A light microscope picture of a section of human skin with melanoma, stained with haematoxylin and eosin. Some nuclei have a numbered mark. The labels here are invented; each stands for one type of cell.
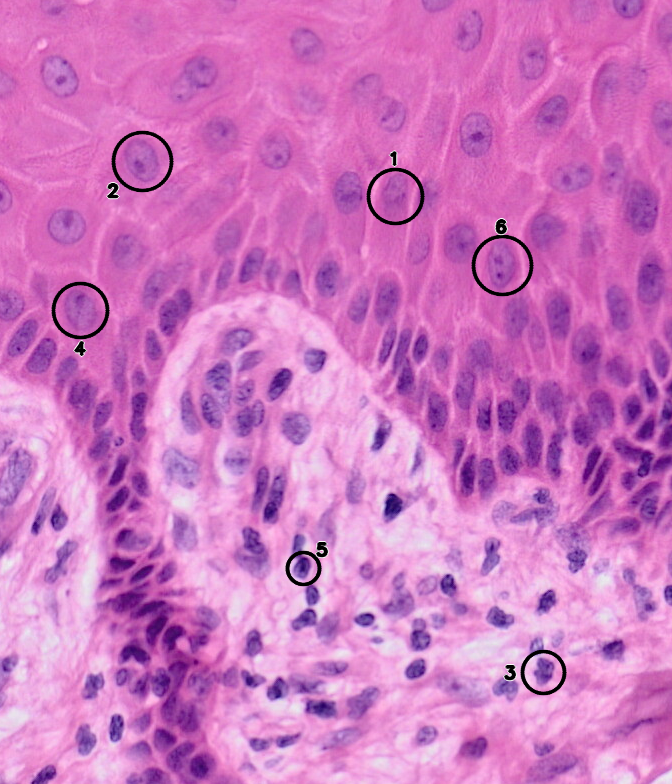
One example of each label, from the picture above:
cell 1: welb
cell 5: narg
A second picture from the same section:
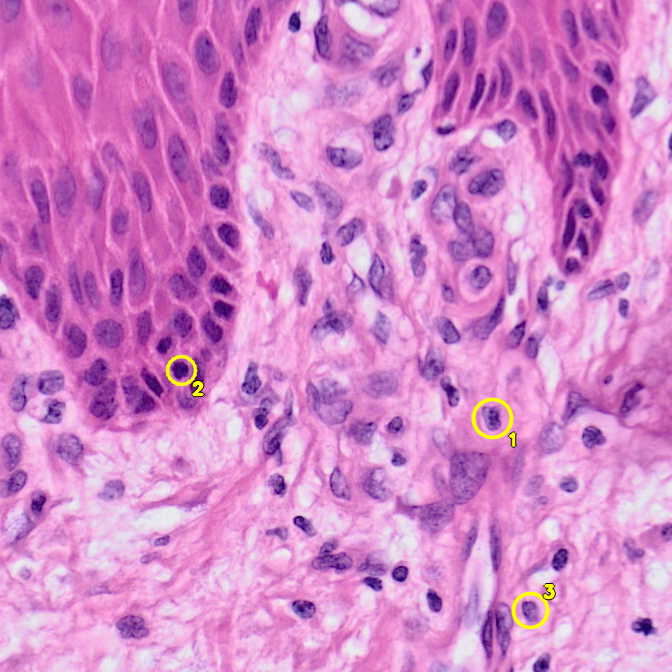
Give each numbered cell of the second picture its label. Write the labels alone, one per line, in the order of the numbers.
narg
welb
narg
